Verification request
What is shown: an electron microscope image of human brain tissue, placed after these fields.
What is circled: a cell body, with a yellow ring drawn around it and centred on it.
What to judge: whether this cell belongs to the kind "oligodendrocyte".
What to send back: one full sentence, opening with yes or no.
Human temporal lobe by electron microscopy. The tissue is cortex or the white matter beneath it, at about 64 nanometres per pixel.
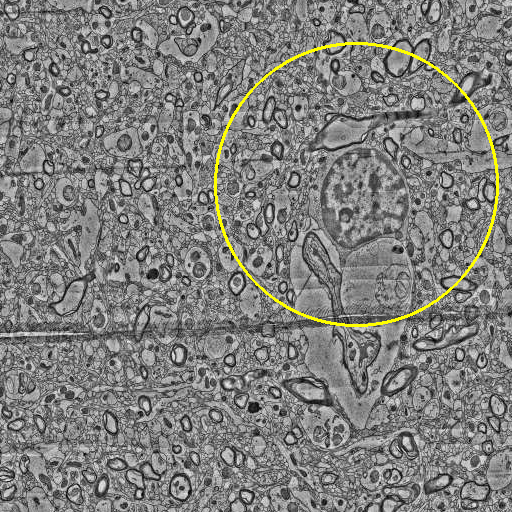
Yes, the cell on which the yellow ring is centred in the picture is of that kind.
